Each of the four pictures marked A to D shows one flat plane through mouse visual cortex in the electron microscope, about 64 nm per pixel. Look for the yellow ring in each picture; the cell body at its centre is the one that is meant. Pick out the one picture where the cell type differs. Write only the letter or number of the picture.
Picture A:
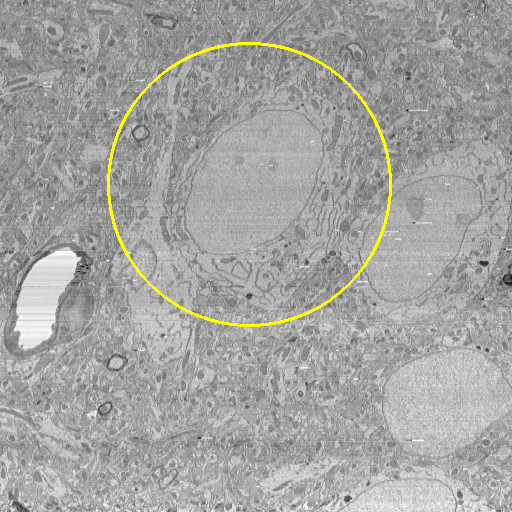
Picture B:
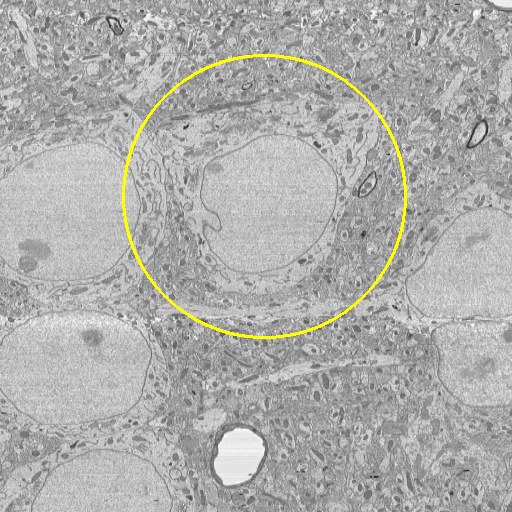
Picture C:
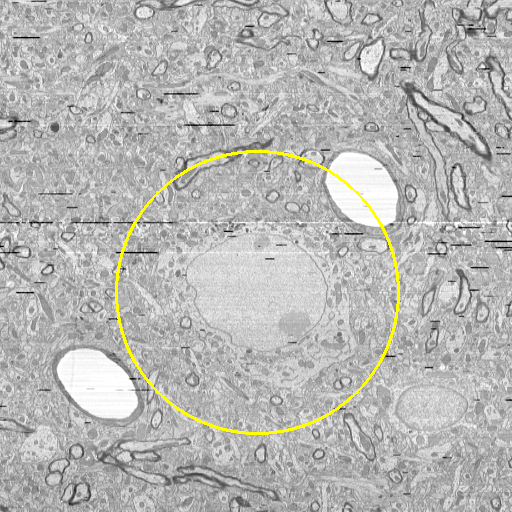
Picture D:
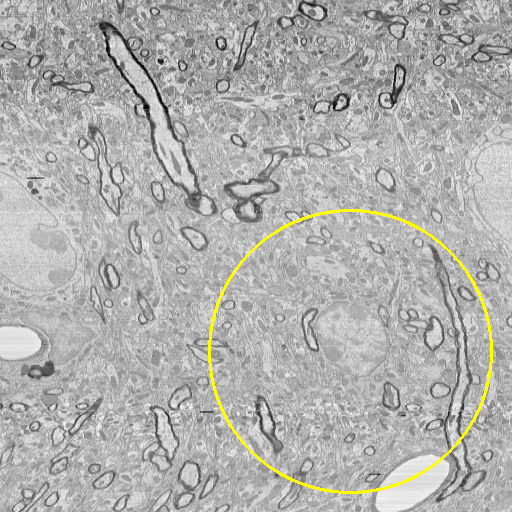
D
